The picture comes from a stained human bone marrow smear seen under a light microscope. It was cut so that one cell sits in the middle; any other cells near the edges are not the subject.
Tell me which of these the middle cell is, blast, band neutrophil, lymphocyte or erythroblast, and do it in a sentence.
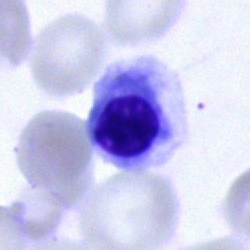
Standing at the centre of this crop is an erythroblast.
